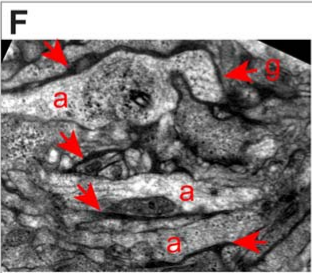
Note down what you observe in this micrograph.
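This electron micrograph shows a longitudinal section of nerve tissue with axons enwrapped by glia. The axons are pale, off-white profiles of varied width, some containing fine granular or vesicular material. They are separated by thin dark lines and narrow dark processes of glial membrane and cytoplasm. Arrows point to several of these thin dark wrappings along the axon borders. Overall the glial layers are slender compared with the pale axonal areas.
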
